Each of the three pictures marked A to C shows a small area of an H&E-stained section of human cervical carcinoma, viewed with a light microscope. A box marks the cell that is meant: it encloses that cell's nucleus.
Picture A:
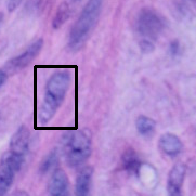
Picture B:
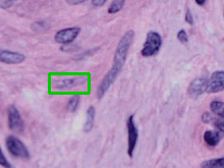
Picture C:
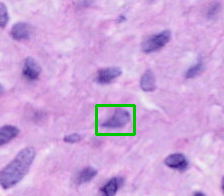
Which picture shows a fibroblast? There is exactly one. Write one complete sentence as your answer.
Picture C is the one that shows the fibroblast.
